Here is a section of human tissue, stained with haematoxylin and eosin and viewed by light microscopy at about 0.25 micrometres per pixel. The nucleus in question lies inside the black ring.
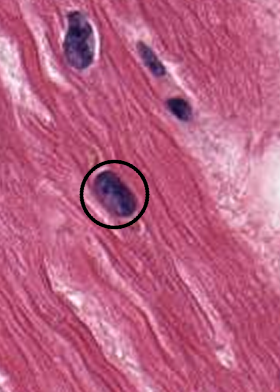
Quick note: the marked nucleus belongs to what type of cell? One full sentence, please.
The marked nucleus is the nucleus of a cardiomyocyte.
